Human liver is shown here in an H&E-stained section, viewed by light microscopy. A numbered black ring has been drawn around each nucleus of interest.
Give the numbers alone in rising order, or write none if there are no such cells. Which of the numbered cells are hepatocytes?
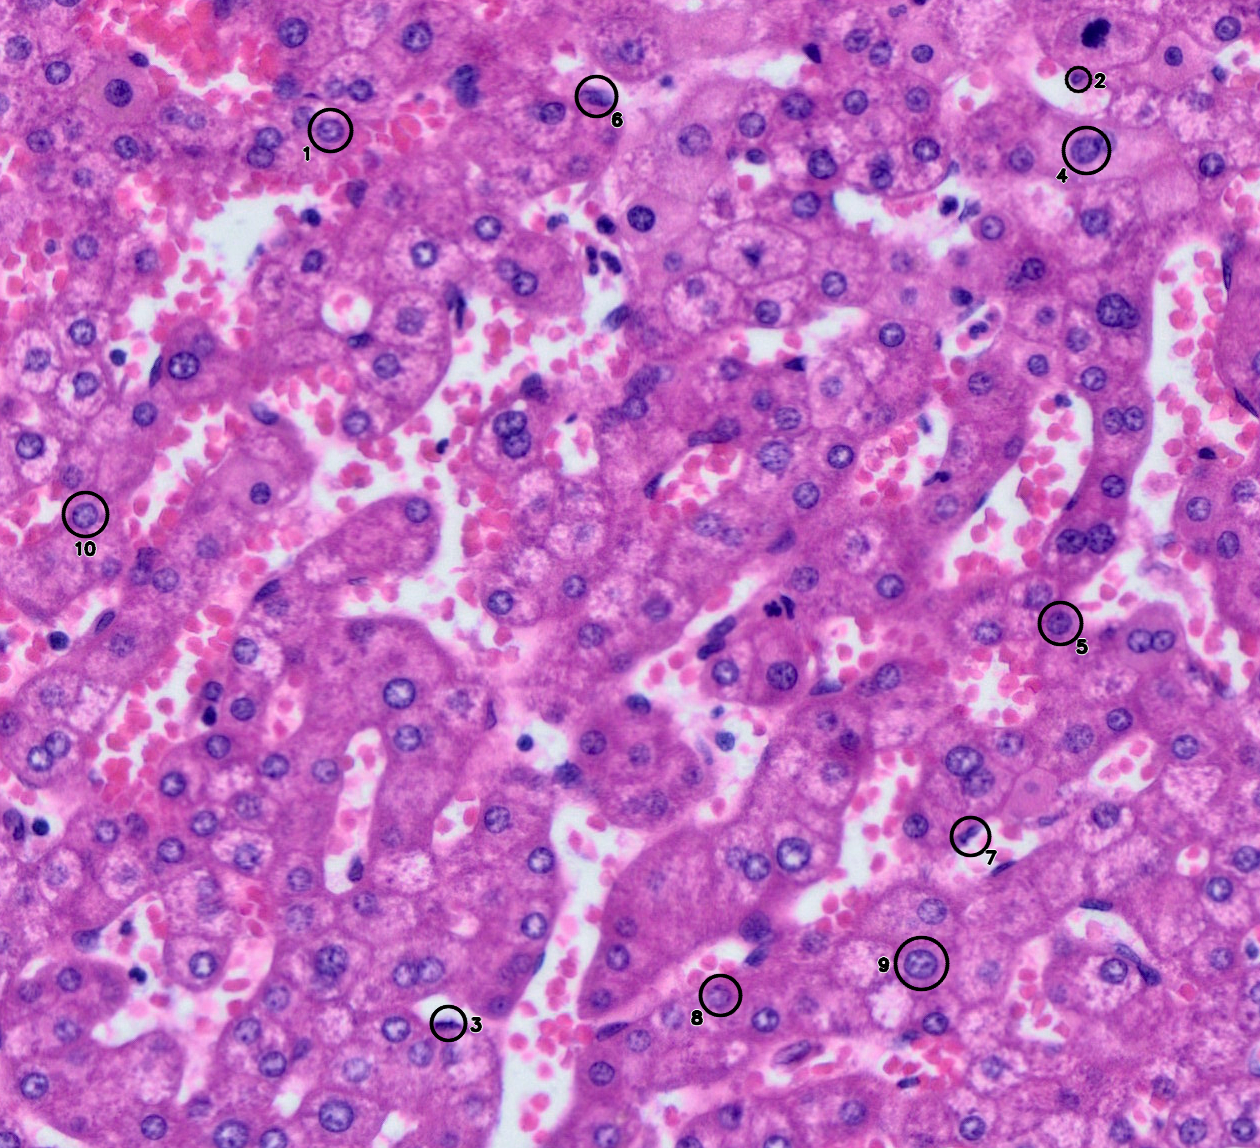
1, 4, 5, 8, 9, 10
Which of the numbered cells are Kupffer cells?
2, 6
